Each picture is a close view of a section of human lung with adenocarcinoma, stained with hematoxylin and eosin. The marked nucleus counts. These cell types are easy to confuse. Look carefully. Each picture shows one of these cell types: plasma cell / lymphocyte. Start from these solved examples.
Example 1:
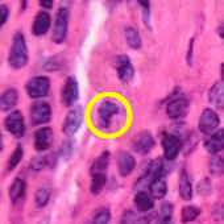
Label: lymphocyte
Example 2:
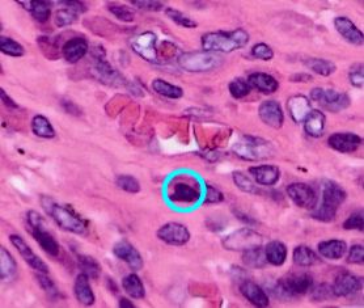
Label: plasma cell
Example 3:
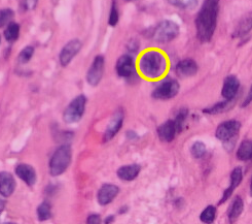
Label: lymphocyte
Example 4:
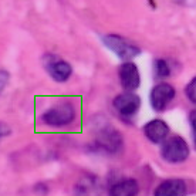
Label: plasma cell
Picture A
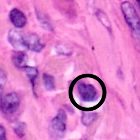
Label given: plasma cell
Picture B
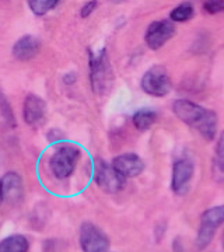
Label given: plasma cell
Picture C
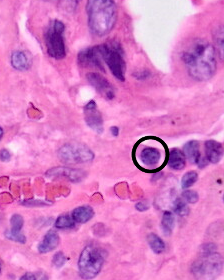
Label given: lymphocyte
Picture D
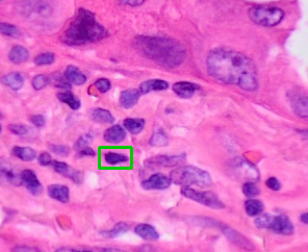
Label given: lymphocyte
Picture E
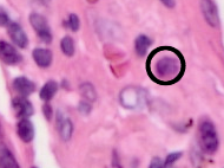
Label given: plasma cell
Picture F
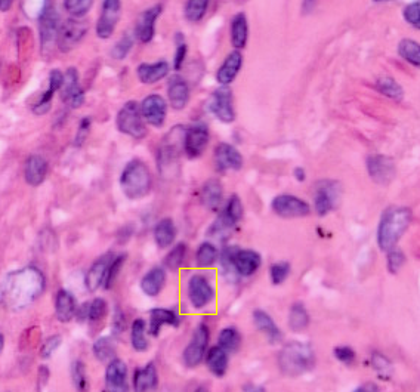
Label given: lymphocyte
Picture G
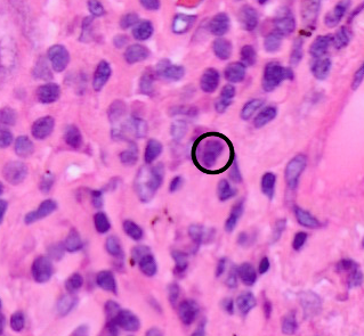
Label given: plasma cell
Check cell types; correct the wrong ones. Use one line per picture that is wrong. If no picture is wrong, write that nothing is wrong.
B: lymphocyte, not plasma cell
